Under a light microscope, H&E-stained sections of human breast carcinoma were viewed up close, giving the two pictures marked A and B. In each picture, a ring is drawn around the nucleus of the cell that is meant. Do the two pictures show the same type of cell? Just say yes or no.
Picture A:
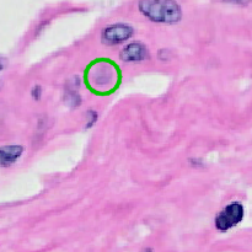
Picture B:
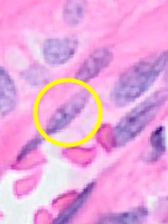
yes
